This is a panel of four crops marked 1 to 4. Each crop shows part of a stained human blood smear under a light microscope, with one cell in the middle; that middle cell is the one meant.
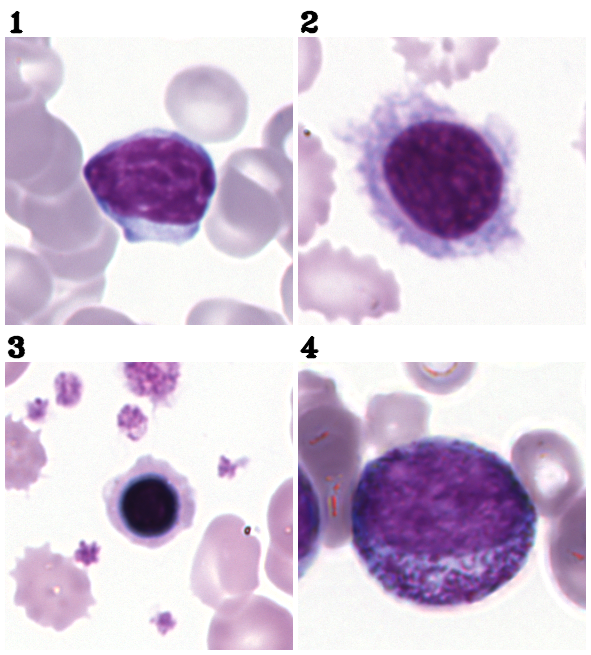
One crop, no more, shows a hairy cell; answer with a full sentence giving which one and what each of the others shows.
Crop 2 comes out as a hairy cell, while crop 1 is a typical lymphocyte, crop 3 is a normoblast and crop 4 is a promyelocyte.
